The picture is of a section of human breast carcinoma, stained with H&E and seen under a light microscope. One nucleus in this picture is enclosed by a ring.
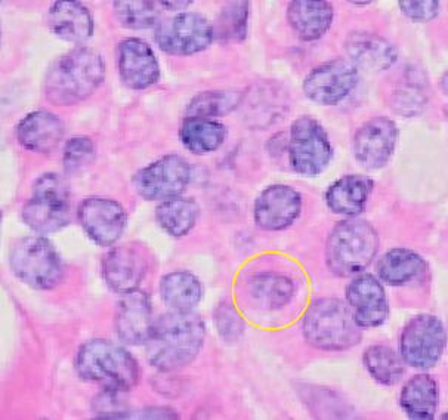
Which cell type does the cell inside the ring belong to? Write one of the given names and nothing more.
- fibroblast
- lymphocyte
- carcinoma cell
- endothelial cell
carcinoma cell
